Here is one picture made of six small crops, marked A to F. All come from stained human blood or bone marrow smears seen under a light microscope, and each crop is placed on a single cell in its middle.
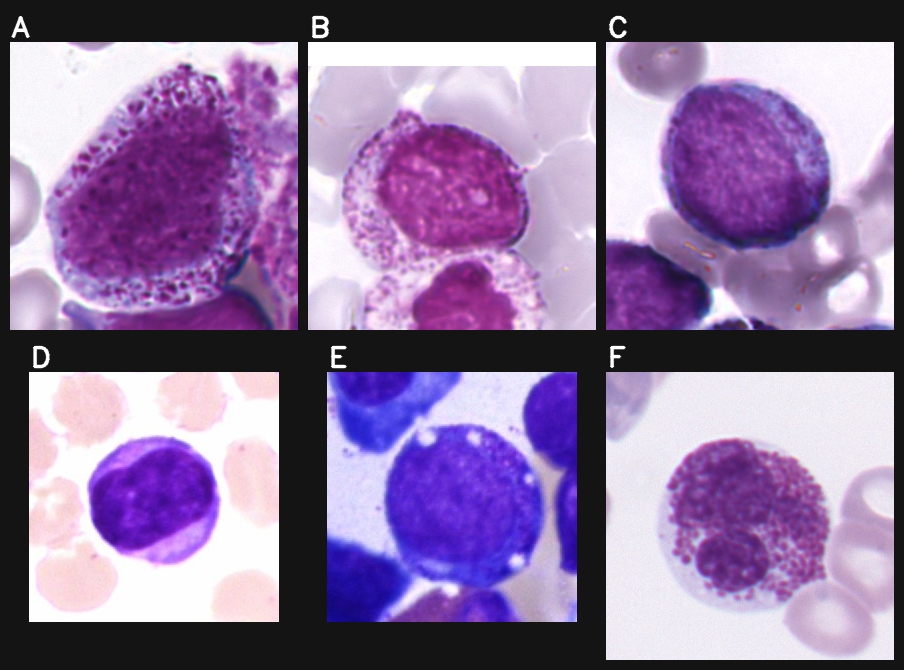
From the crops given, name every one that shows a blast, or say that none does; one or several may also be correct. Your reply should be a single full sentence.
None of the central cells in the crops is a blast.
